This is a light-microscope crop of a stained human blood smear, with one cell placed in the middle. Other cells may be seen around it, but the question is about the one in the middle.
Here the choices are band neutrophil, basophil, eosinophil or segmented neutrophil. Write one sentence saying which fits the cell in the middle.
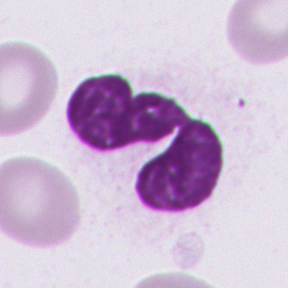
Centred in the crop is a segmented neutrophil.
